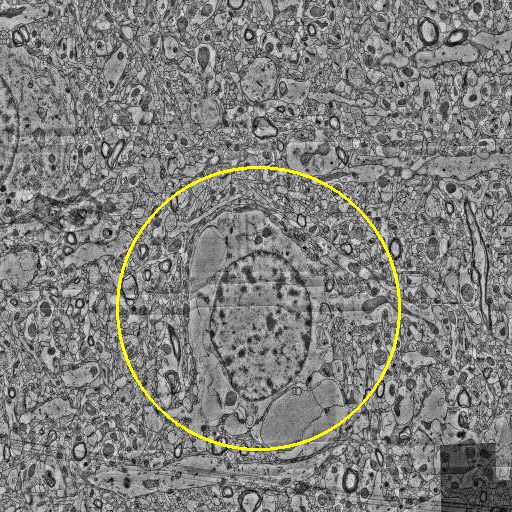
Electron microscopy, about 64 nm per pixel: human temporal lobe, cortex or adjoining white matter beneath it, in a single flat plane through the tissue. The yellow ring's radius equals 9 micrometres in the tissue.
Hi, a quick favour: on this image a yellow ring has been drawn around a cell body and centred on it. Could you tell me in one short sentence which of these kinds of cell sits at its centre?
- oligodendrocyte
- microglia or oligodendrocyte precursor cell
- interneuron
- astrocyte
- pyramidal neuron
The ring is centred on an astrocyte.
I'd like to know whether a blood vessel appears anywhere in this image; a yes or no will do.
No, no blood vessel can be seen.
